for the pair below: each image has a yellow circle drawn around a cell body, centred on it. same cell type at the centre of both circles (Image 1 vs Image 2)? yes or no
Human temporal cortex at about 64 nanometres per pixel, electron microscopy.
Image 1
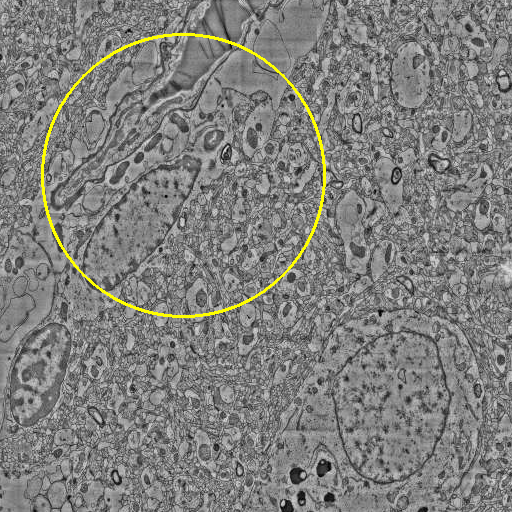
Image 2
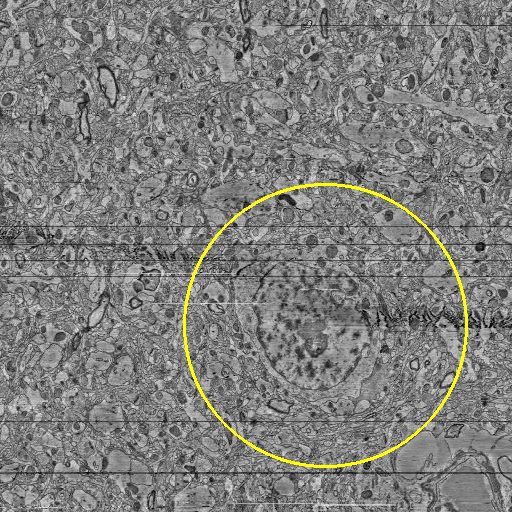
no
